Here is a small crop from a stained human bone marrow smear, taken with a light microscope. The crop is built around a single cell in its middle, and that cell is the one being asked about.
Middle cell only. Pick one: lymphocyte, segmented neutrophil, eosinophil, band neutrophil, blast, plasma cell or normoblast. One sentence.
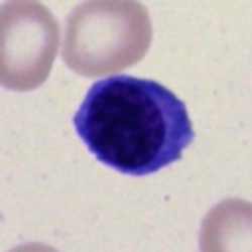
In the middle of this smear crop is a normoblast.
